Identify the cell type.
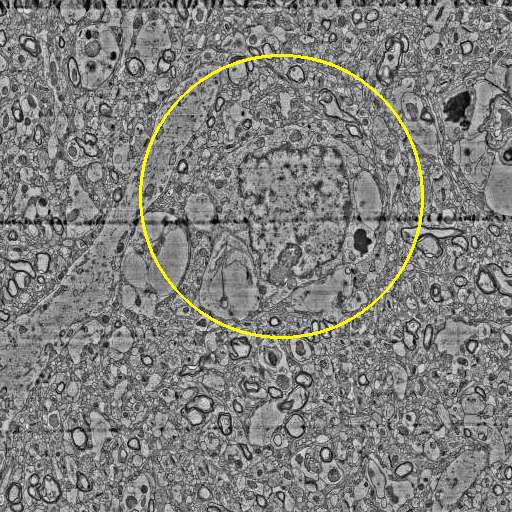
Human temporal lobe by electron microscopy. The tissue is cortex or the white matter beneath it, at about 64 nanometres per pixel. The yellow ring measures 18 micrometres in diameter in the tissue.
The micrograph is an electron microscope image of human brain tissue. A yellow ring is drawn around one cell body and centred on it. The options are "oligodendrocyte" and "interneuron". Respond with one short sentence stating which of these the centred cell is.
The cell body in the ring belongs to an interneuron.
